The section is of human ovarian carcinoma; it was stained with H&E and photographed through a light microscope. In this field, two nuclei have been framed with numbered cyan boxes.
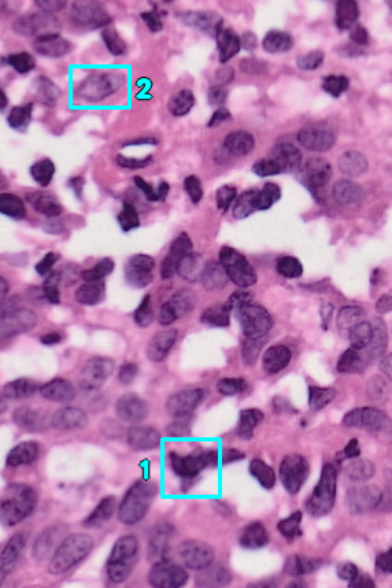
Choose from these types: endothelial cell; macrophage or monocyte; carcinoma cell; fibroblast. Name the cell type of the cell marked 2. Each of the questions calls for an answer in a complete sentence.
Among the marked nuclei, number 2 belongs to a macrophage or monocyte.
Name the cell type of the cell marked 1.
Among the marked nuclei, number 1 belongs to a carcinoma cell.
